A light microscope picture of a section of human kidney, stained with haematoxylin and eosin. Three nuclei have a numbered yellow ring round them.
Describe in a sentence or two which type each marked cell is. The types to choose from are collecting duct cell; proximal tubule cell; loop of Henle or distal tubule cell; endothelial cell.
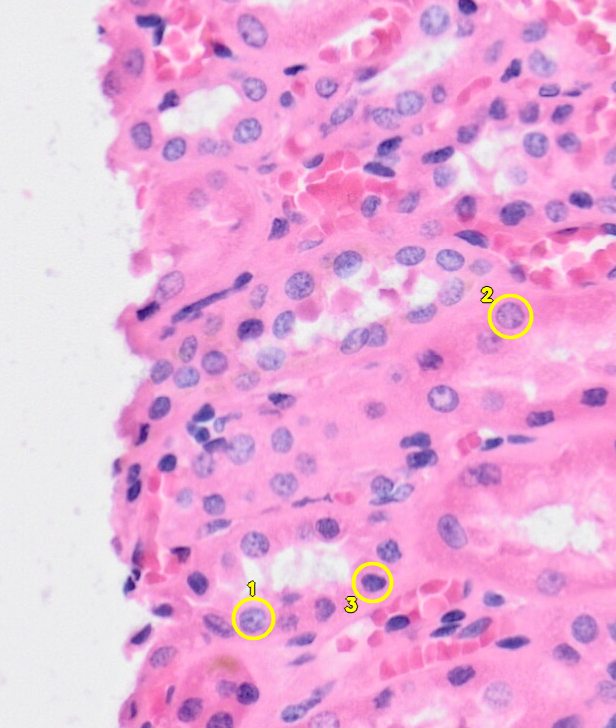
Cell 1 is a loop of Henle or distal tubule cell, cell 2 is a proximal tubule cell and cell 3 is a loop of Henle or distal tubule cell.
